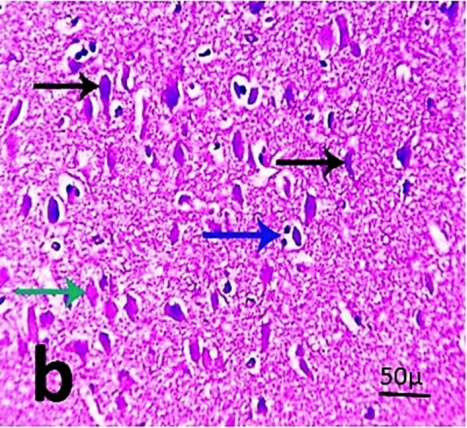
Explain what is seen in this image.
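This is the cerebral cortex, with scattered neurons set in pink, finely granular neuropil. Many neuron cell bodies are small, angular and densely stained deep pink to purple, often lying in clear spaces, which fits shrunken, degenerating neurons. In one place several small dark round nuclei crowd around a single cell body, a pattern known as satellitosis. Some cell bodies are pink with no clear nucleus.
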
